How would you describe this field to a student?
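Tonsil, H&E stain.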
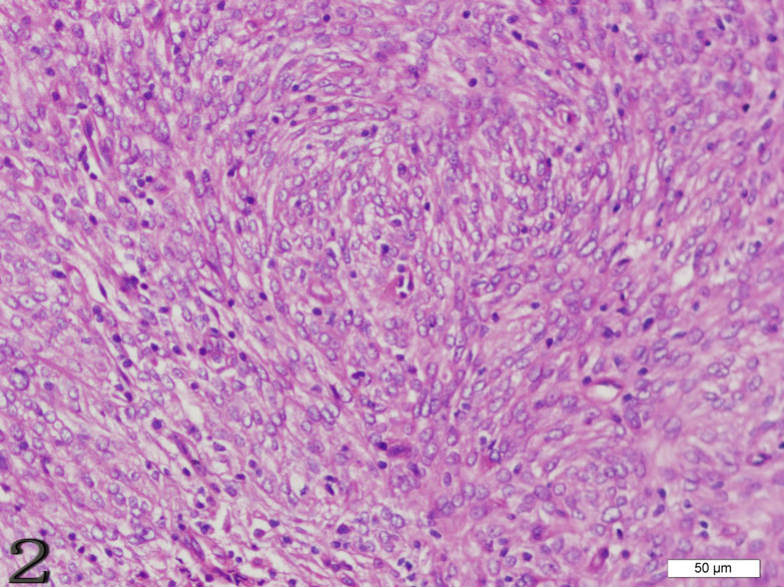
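The cells are arranged in sweeping fascicles that curl into vague whorls, especially around the centre of the field. Their nuclei are oval and pale, with a thin, delicate nuclear outline, open vesicular chromatin, and in many a small but distinct nucleolus. The cytoplasm is pale pink and the borders between neighbouring cells cannot be made out, so the nuclei seem to lie in one continuous pink sheet. Scattered among the tumour cells are smaller, round, darkly staining nuclei of small lymphocytes.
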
